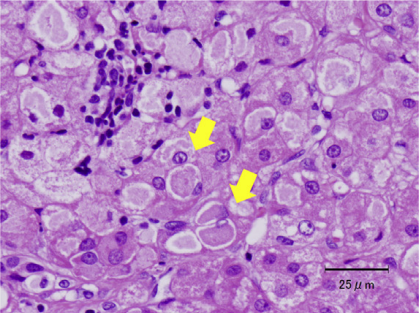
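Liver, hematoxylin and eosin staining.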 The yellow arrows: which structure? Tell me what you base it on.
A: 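Round pale pink inclusions sit within the cytoplasm of the large polygonal cells. Each inclusion is separated from the surrounding cytoplasm by a clear rim.
Conclusion: Eosinophilic materials surrounded by a halo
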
